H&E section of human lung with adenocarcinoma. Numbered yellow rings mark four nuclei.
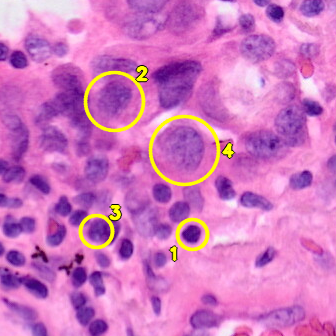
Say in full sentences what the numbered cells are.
Cell 1 is a lymphocyte, cell 2 is a carcinoma cell, cell 3 is a lymphocyte and cell 4 is a carcinoma cell.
